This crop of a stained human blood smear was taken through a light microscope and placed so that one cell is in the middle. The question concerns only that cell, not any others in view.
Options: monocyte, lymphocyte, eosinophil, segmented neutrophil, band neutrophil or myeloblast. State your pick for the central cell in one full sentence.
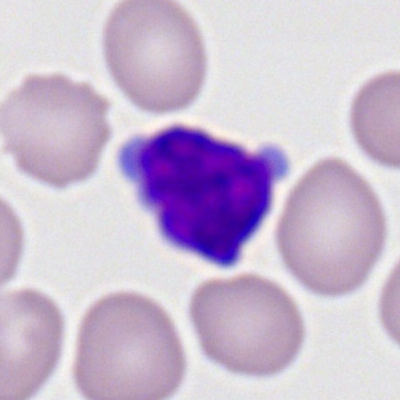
As for the cell in the middle, it is a lymphocyte.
